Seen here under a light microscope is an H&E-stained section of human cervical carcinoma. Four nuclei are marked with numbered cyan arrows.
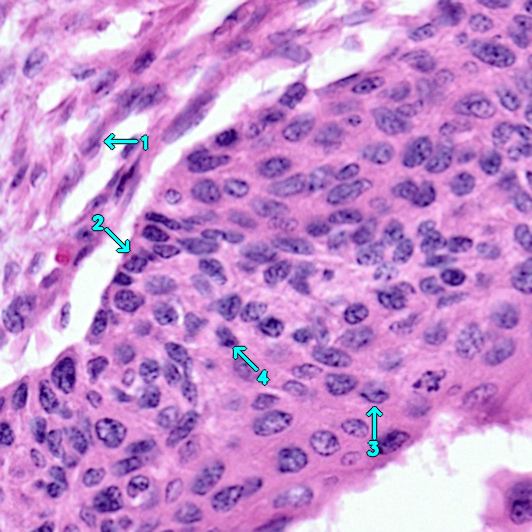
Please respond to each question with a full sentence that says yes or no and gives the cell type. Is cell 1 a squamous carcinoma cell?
No, calling cell 1 a squamous carcinoma cell is incorrect; it is a fibroblast.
